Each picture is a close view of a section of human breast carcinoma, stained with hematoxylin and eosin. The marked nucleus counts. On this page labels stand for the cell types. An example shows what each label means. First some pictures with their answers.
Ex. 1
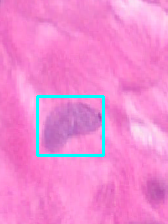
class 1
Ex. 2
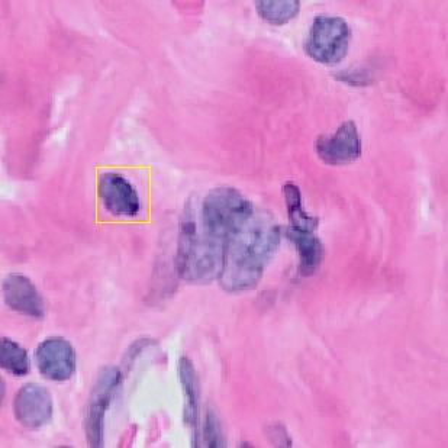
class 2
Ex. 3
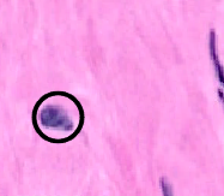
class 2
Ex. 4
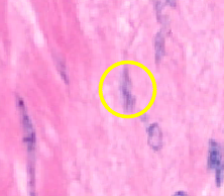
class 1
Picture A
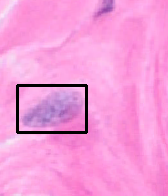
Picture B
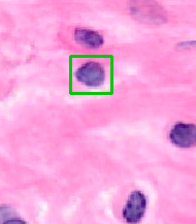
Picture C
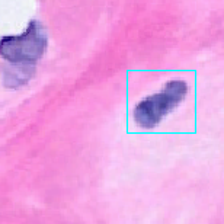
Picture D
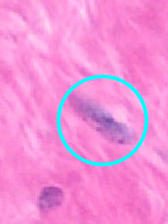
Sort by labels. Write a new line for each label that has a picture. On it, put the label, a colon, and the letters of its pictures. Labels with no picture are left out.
class 1: A, D
class 2: B, C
